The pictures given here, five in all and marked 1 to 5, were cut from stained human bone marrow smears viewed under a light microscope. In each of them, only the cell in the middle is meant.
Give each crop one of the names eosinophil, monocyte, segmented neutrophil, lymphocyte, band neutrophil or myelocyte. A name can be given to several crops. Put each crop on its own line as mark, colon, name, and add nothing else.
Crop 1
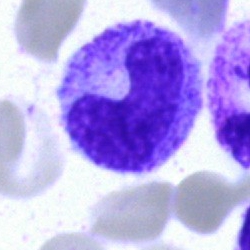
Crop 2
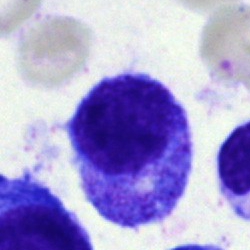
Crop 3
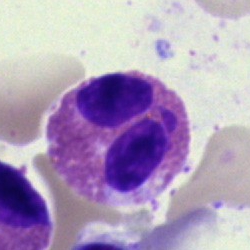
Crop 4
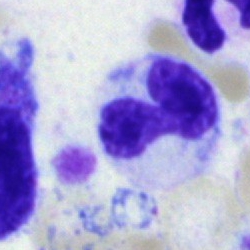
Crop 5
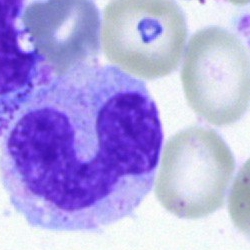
1: band neutrophil
2: myelocyte
3: eosinophil
4: band neutrophil
5: band neutrophil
